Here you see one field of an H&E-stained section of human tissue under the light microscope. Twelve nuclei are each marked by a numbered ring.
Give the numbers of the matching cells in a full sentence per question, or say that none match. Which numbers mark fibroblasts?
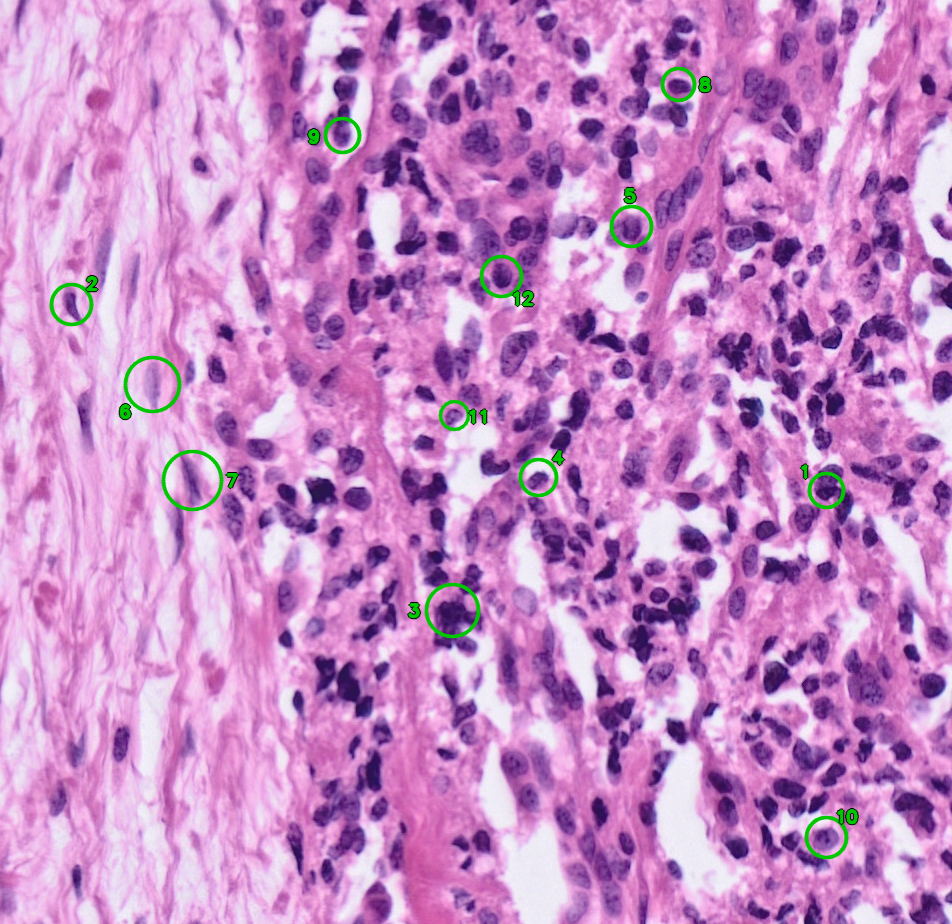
The cells marked with the numbers 2, 6 and 7 are fibroblasts.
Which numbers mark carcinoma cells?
As for the cells numbered 1, 3, 4, 5, 8, 9 and 12, they are carcinoma cells.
